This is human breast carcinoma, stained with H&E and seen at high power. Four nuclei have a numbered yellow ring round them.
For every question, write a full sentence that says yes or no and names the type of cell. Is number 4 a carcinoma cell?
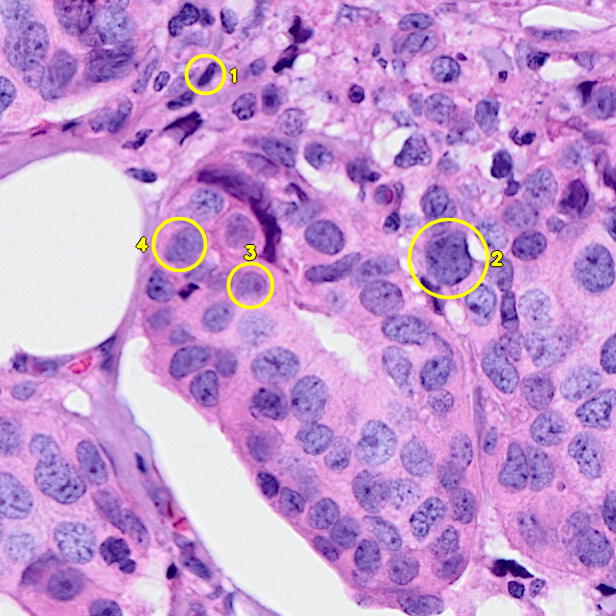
Yes, correct, the cell with the number 4 is a carcinoma cell.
